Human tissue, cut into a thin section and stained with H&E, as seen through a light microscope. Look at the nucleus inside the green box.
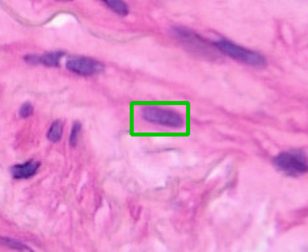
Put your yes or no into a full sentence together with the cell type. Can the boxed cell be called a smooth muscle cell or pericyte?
Yes, with respect to cell type, the boxed cell is a smooth muscle cell or pericyte.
